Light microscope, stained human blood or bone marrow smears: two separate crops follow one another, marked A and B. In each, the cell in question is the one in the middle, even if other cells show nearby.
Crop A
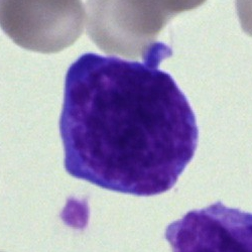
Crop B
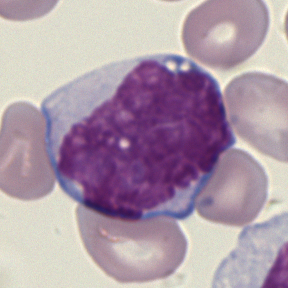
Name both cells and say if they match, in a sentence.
Yes, both of the crops in this pair show blasts, one cell in each crop.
